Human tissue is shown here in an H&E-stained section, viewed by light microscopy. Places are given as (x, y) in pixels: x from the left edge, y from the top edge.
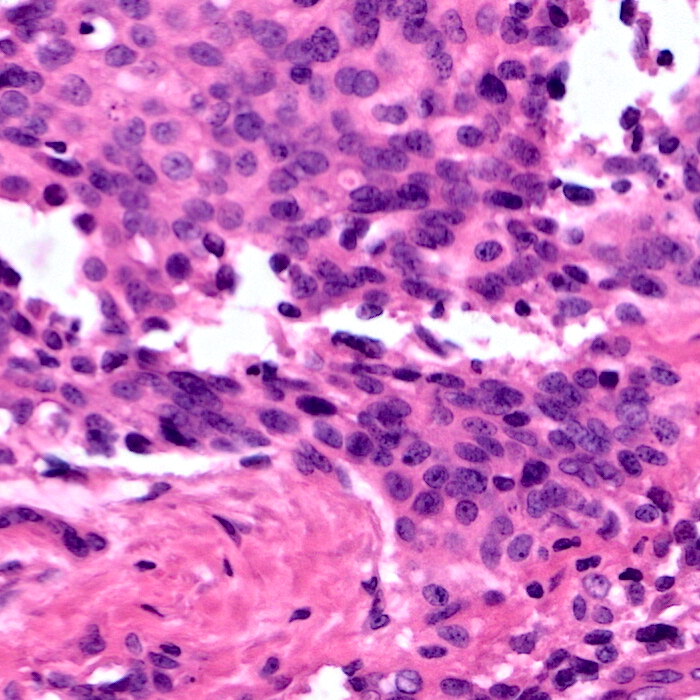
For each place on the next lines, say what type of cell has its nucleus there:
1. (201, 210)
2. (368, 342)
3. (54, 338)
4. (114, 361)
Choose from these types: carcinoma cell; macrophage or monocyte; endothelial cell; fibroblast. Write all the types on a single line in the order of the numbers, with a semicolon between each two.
carcinoma cell; carcinoma cell; macrophage or monocyte; carcinoma cell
